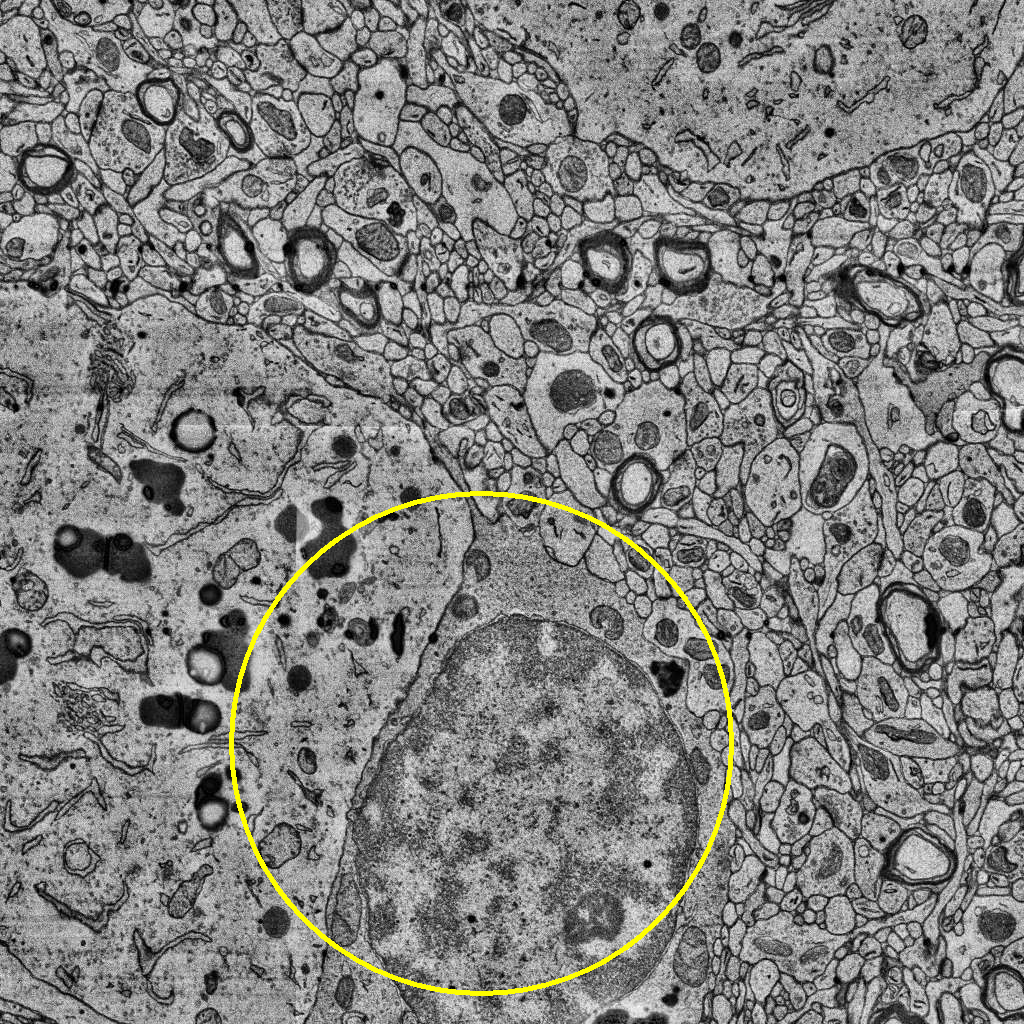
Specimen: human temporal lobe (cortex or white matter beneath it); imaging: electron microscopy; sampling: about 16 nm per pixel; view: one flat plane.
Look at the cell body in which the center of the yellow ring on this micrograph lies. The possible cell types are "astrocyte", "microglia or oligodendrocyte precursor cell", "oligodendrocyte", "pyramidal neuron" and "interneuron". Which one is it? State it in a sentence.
The cell at the middle of the ring is an oligodendrocyte.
